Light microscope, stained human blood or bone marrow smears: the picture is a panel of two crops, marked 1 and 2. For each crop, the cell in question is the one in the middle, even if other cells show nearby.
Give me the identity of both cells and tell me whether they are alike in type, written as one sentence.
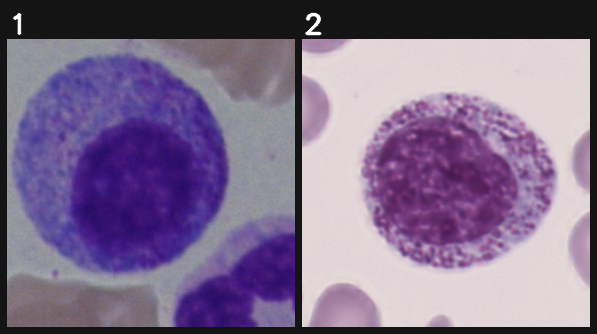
Yes, both crops show myelocytes, to put it briefly.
